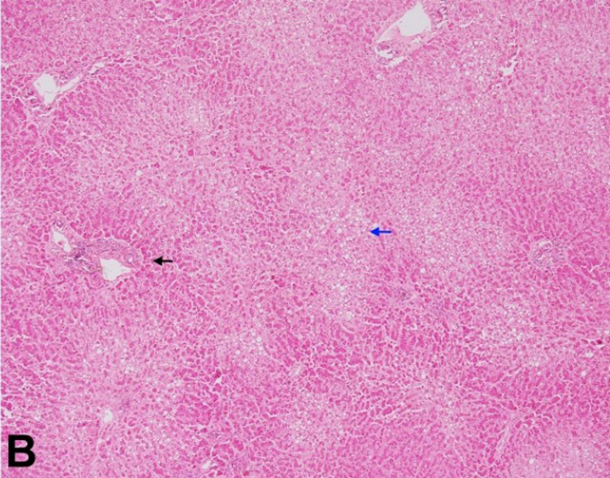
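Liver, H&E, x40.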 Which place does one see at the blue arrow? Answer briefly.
Zone 2 and zone 3.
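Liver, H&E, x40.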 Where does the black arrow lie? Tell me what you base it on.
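Zone 1. The black arrow points beside a vessel with a small cuff of connective tissue, a portal tract. The parenchyma around it stains a deeper pink than the areas further away.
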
